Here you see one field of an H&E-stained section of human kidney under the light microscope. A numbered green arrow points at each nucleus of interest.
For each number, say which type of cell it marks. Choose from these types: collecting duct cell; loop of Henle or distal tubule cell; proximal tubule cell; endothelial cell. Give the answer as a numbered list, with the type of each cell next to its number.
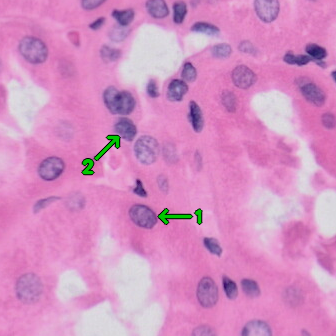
1. proximal tubule cell
2. collecting duct cell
